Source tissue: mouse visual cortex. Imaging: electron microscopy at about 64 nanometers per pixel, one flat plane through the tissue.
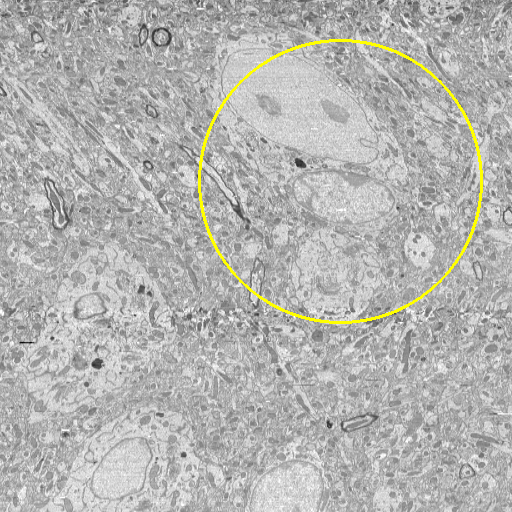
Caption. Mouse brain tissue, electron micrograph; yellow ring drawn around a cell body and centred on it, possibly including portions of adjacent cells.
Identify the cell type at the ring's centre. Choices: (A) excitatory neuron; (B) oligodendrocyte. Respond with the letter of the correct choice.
B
